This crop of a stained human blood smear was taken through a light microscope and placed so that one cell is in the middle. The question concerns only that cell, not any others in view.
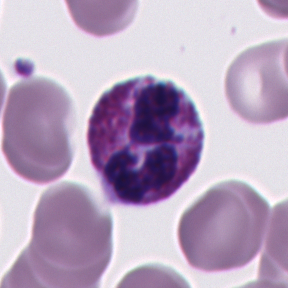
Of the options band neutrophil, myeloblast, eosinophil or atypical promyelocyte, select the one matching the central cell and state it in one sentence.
The cell at the middle of the frame should be recorded as an eosinophil.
